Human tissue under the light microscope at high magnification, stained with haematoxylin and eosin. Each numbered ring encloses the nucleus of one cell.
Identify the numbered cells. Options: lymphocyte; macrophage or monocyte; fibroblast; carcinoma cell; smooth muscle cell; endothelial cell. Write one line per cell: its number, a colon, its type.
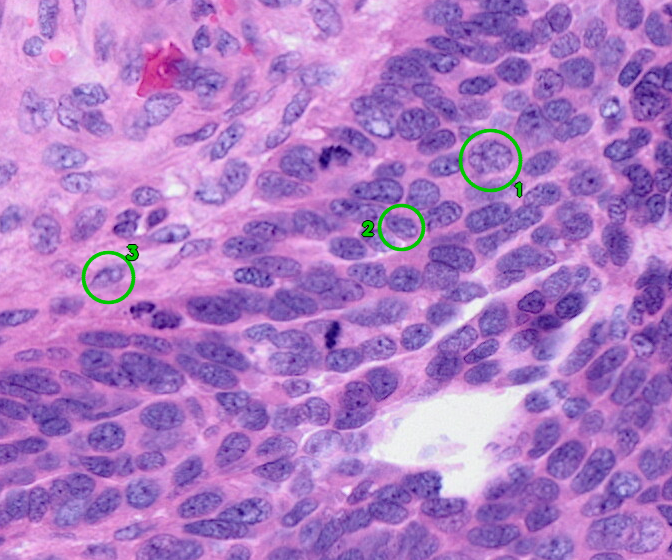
1: carcinoma cell
2: carcinoma cell
3: fibroblast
